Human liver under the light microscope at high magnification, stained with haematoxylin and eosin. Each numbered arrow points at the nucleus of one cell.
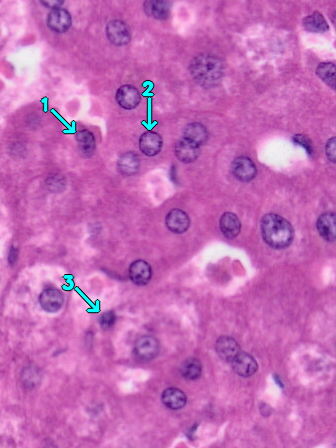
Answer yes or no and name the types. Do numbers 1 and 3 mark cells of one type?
No, cell 3 is a fibroblast or stellate cell, while cell 1 is a Kupffer cell.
